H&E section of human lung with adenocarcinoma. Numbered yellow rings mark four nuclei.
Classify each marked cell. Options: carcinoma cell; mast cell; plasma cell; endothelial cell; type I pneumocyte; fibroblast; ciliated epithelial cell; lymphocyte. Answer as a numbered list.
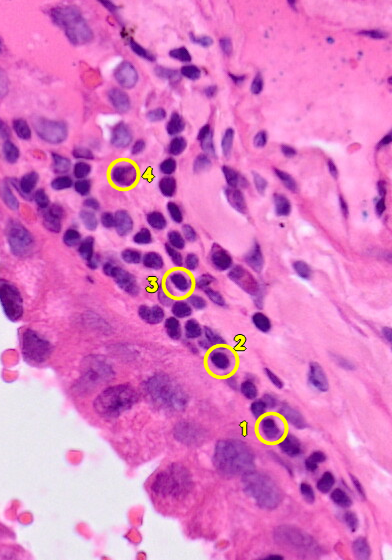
1. lymphocyte
2. lymphocyte
3. lymphocyte
4. plasma cell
